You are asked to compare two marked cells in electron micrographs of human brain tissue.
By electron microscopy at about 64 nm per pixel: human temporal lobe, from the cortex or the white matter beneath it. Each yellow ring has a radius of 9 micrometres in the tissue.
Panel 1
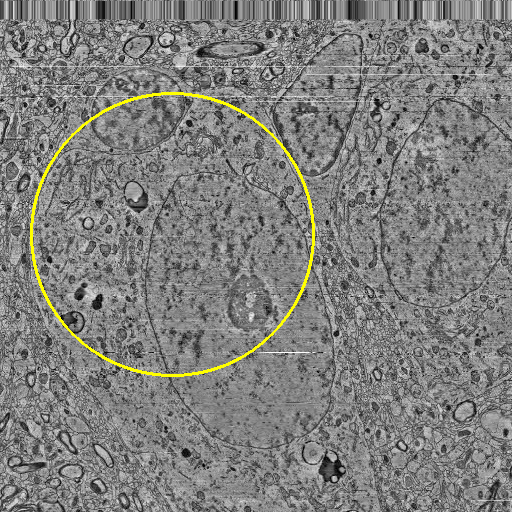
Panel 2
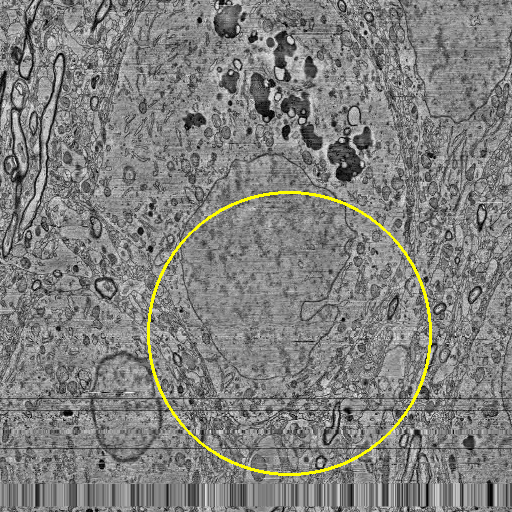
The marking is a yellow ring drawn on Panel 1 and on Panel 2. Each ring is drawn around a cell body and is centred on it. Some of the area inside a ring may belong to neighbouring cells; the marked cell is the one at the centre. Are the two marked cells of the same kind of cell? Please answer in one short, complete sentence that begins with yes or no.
Yes, the two marked cells are of the same kind.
